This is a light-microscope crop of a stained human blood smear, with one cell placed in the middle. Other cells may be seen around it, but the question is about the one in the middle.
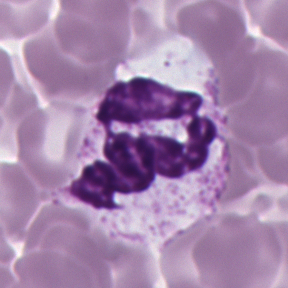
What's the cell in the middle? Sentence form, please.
The cell occupying the middle of the crop is a segmented neutrophil.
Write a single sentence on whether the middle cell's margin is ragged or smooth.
The edge of the cell is unbroken and smooth, bearing no projections.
